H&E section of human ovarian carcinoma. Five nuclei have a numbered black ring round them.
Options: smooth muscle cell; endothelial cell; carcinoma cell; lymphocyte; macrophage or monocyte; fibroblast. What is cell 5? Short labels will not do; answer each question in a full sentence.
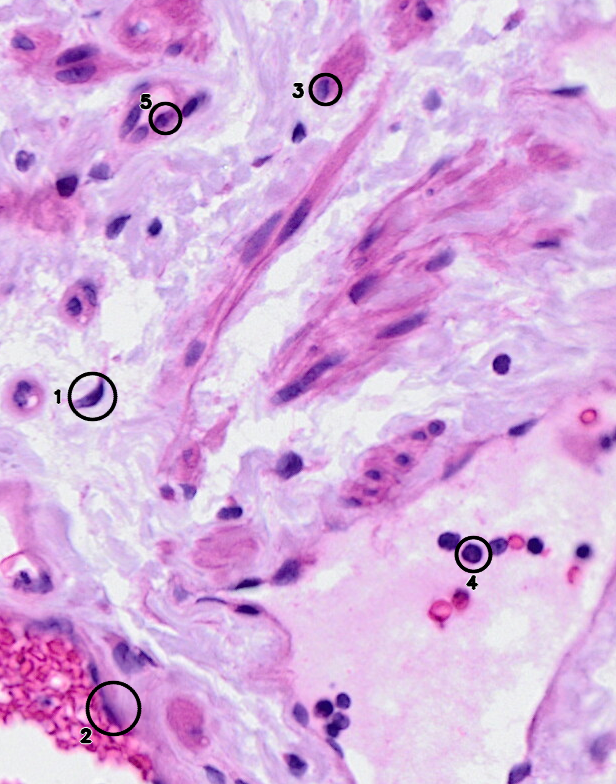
The cell numbered 5 has been identified as an endothelial cell.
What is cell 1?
Cell 1 in the field of view is a fibroblast.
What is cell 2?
Denoted by the label 2 in the section is an endothelial cell.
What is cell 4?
The nucleus marked 4 is the nucleus of a lymphocyte.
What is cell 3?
Cell 3 is classified as a smooth muscle cell.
